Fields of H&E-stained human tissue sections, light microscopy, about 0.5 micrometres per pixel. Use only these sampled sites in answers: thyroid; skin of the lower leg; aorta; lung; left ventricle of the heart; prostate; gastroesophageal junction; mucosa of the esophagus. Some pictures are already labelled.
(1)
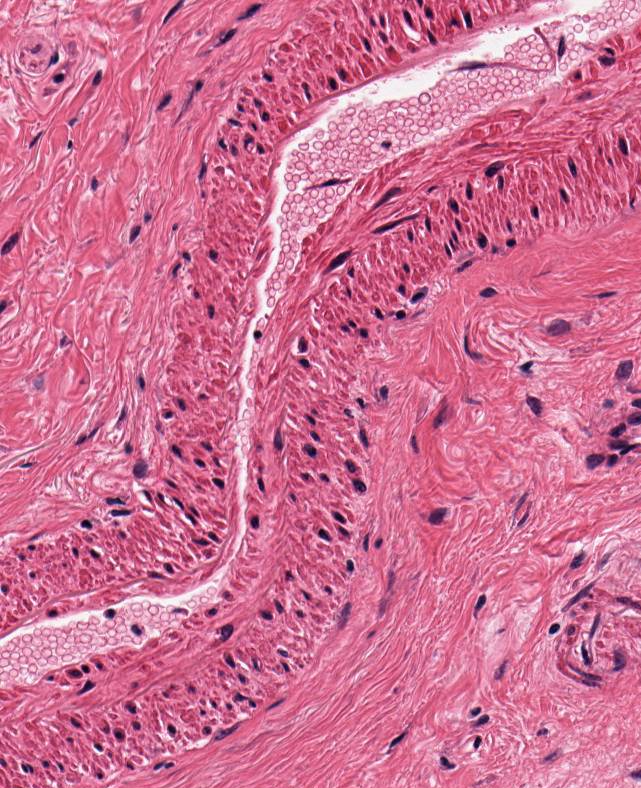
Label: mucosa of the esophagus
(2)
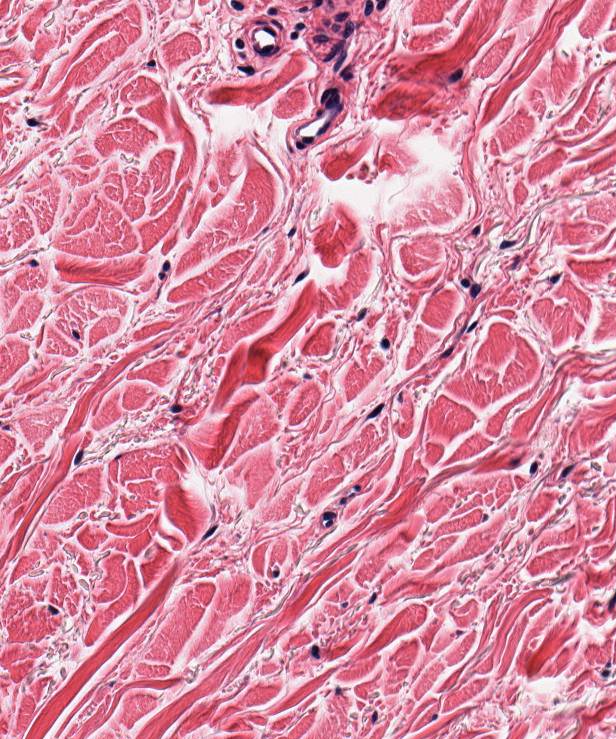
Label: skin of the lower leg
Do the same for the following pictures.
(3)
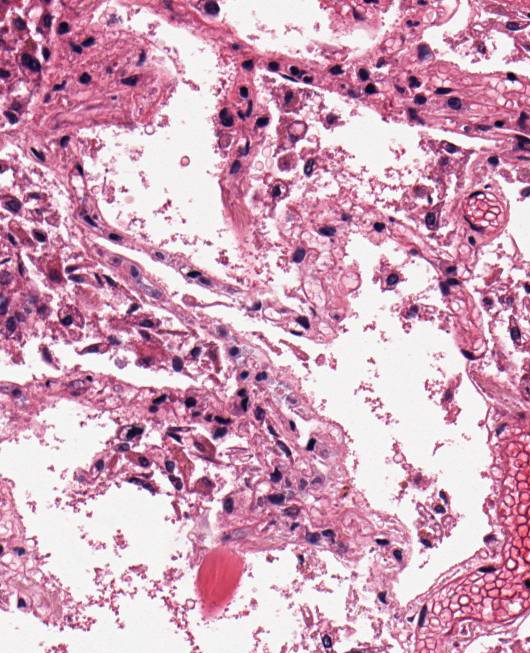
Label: lung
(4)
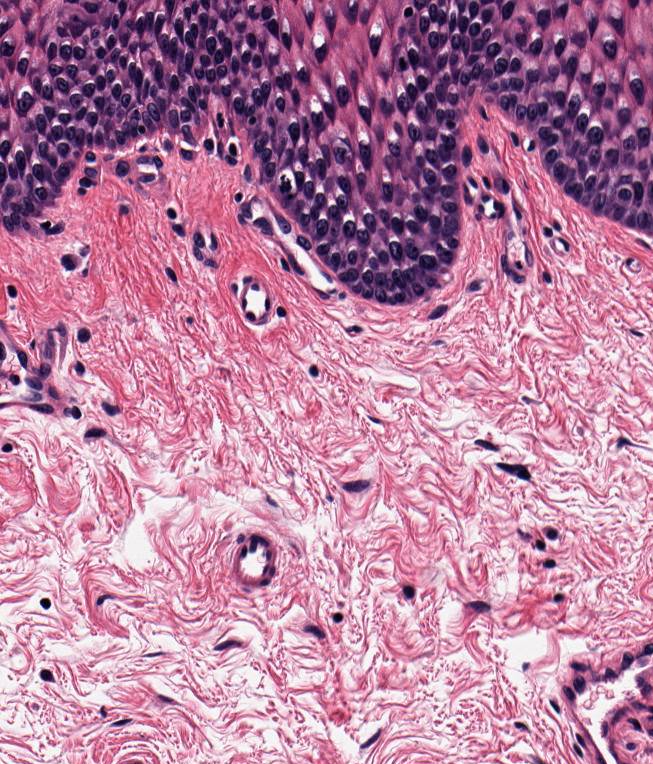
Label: mucosa of the esophagus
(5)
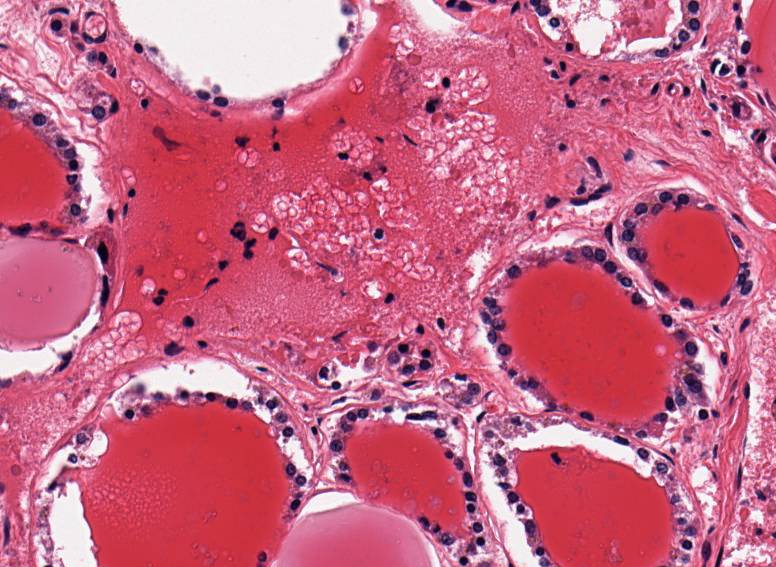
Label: thyroid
